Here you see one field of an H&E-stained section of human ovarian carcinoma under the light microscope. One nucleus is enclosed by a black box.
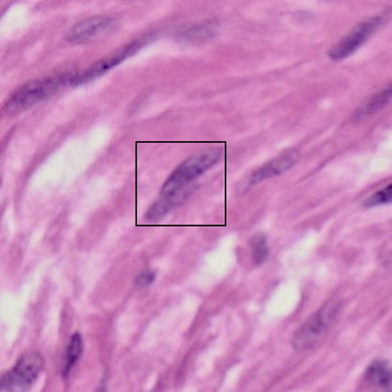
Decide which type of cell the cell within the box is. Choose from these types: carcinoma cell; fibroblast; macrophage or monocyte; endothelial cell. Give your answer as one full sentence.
The correct response here is that the cell within the box is a fibroblast.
